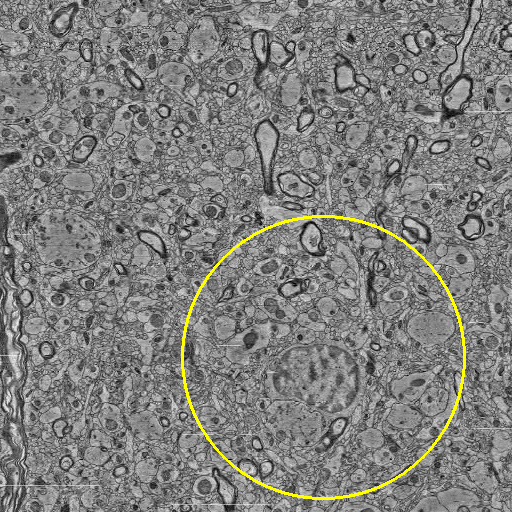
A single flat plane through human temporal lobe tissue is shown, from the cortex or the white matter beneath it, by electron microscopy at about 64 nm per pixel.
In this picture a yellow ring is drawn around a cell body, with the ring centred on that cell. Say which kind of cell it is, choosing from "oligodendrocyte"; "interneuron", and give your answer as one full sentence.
Here it is an oligodendrocyte that sits at the centre of the drawn yellow ring.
